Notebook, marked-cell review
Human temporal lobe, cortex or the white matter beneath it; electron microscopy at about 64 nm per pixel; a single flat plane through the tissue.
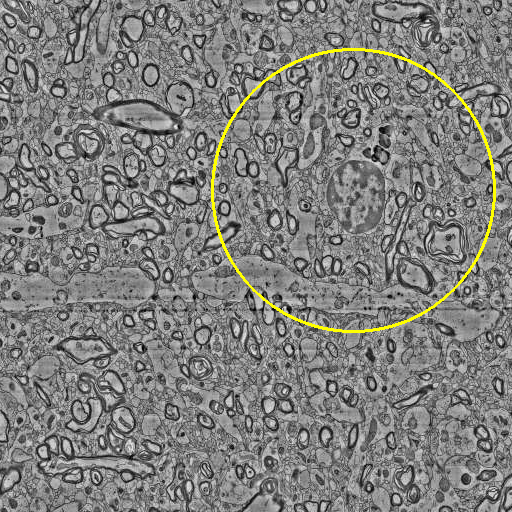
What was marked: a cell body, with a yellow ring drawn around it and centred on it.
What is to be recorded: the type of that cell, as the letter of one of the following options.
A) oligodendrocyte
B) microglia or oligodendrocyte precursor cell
B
